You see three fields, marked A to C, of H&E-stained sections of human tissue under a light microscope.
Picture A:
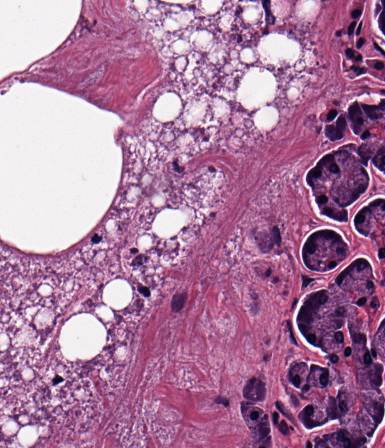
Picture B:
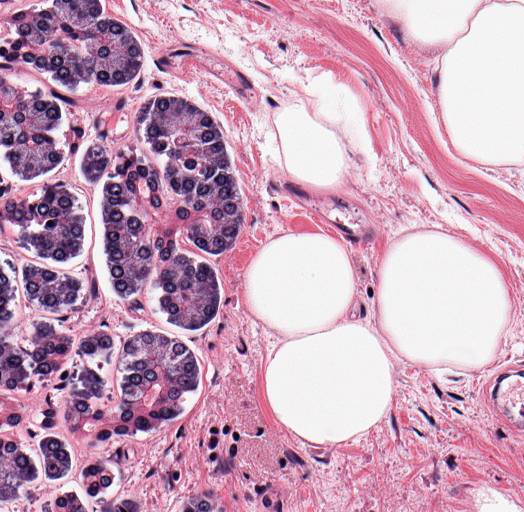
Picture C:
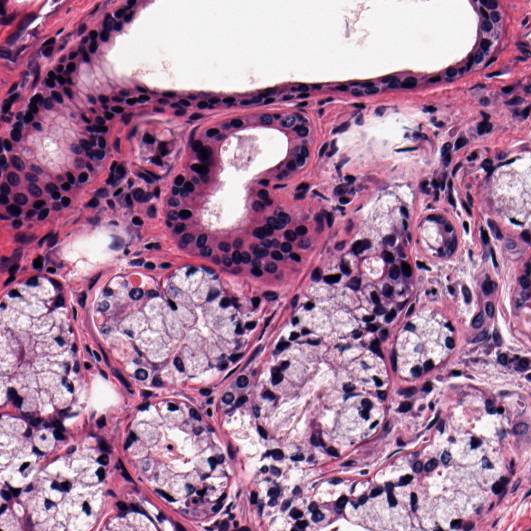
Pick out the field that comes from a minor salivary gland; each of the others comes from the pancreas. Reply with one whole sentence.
It is picture C that comes from a minor salivary gland.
